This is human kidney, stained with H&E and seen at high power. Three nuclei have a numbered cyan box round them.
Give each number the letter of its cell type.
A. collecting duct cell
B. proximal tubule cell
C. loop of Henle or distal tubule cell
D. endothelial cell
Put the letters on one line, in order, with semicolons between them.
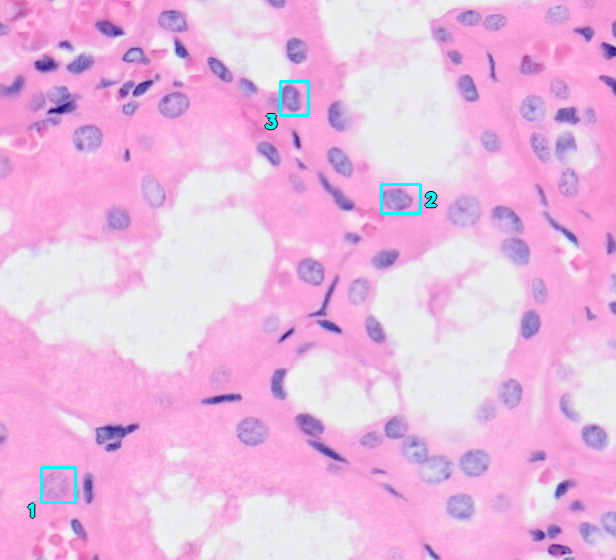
B; C; C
